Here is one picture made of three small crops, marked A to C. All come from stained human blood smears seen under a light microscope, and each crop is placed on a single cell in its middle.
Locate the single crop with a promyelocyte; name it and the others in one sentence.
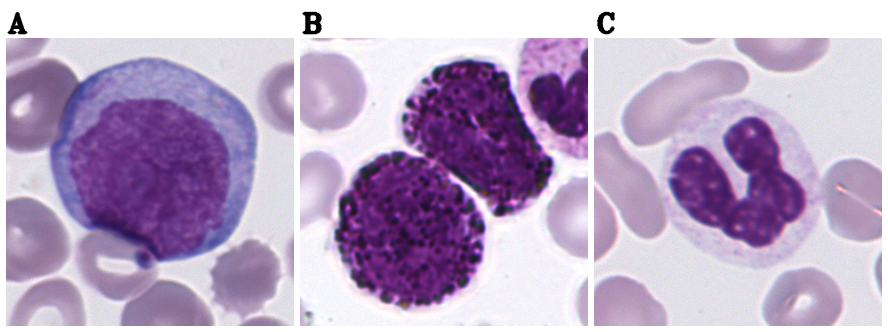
Crop A is classified as a promyelocyte, whereas crop B is a basophil and crop C is a segmented neutrophil.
